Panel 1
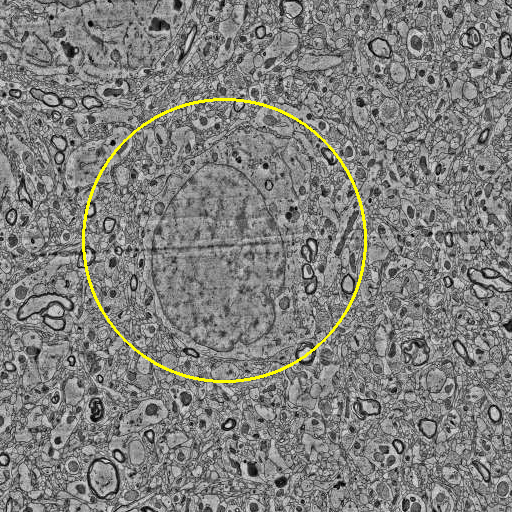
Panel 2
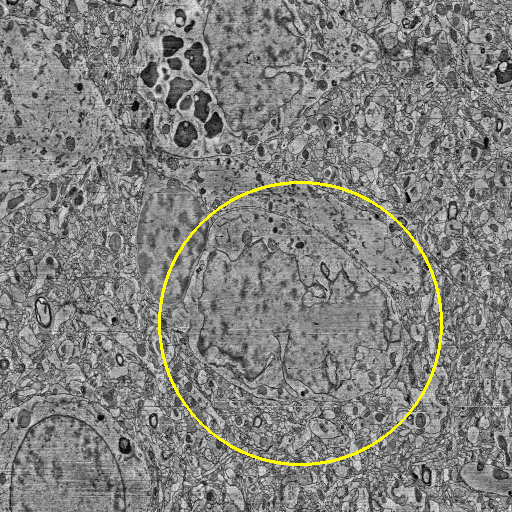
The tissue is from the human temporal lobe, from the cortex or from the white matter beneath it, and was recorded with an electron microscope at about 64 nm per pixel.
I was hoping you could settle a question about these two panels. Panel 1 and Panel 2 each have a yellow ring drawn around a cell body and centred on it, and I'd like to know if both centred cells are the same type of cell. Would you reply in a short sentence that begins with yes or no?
Yes, both are the same type of cell.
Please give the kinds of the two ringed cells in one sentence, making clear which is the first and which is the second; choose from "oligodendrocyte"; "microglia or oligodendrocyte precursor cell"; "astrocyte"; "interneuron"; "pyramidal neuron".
Each of the two rings is centred on an interneuron.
